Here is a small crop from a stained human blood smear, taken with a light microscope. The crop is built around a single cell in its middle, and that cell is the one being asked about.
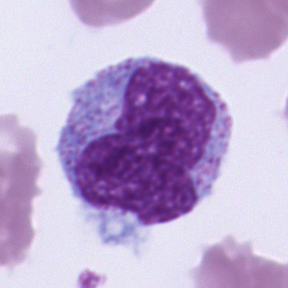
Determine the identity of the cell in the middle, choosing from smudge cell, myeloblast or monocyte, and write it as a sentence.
The centered cell in this crop is a monocyte.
